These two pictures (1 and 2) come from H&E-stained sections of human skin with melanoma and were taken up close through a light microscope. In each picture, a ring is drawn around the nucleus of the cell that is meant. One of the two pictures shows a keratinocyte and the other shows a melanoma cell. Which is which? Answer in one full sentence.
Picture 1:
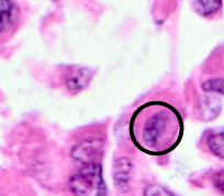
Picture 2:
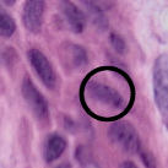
In picture 1 the cell is a melanoma cell; in picture 2, a keratinocyte.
